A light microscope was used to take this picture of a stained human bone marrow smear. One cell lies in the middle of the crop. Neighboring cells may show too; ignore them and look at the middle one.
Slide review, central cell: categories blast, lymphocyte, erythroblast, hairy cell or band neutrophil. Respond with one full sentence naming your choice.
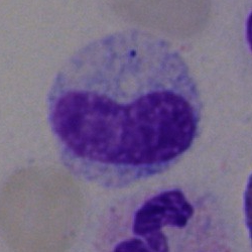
The cell shown in the center of this light-microscope crop is a band neutrophil.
